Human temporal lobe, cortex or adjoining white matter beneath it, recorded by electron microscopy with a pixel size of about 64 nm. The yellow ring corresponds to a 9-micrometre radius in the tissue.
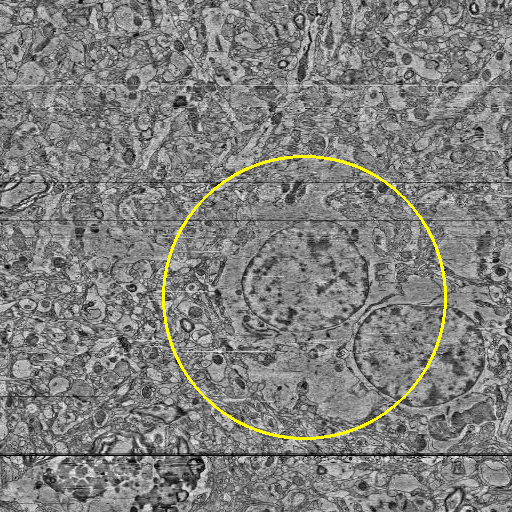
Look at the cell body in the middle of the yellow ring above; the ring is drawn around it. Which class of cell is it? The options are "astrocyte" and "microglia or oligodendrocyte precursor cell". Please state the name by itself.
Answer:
astrocyte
